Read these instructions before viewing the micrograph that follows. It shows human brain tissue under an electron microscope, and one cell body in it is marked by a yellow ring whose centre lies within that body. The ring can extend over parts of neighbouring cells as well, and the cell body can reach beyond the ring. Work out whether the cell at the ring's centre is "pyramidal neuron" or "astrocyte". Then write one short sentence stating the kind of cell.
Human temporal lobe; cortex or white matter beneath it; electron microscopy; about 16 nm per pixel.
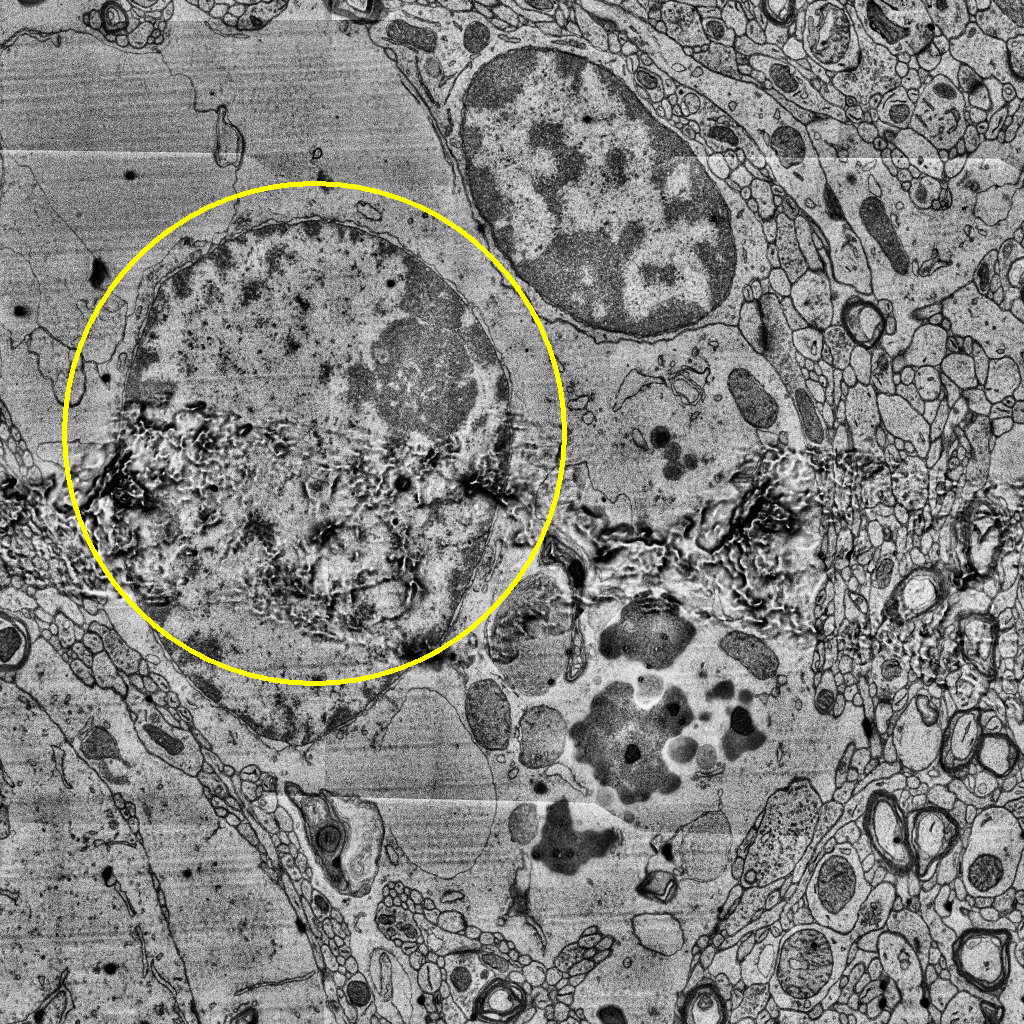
The cell at the ring's centre is an astrocyte.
